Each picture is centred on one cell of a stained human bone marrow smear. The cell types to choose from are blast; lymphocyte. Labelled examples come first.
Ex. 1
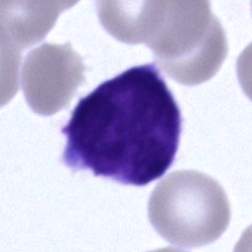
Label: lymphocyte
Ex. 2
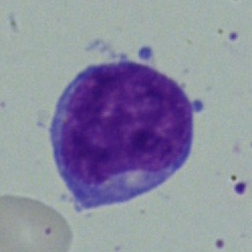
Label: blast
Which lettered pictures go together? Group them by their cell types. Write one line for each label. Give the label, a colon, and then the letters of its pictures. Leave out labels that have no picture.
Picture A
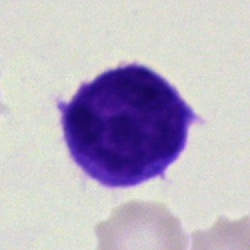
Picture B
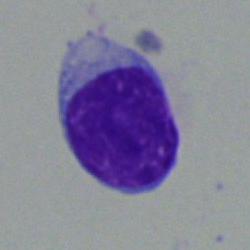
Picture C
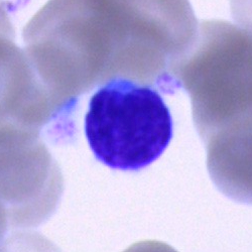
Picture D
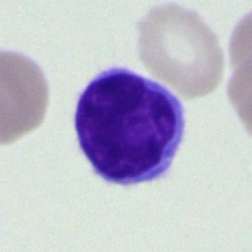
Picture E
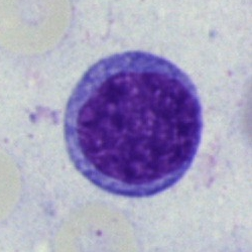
blast: A, E
lymphocyte: B, C, D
